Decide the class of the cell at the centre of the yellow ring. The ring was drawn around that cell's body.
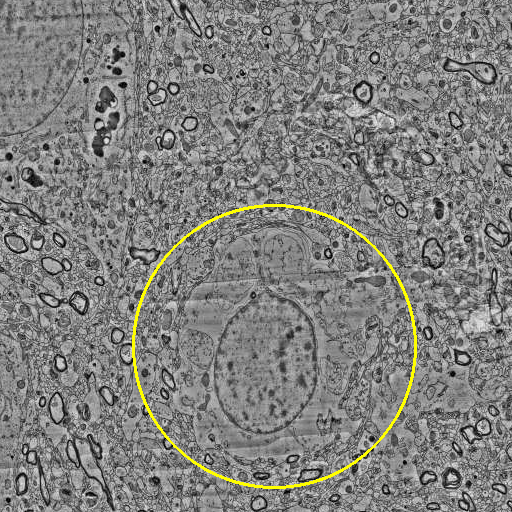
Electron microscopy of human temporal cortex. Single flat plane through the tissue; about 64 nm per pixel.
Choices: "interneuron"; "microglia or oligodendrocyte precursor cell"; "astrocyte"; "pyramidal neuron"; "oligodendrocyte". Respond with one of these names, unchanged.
astrocyte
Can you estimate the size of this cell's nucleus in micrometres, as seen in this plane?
The nucleus comes to roughly 9 by 7 micrometres in this plane.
